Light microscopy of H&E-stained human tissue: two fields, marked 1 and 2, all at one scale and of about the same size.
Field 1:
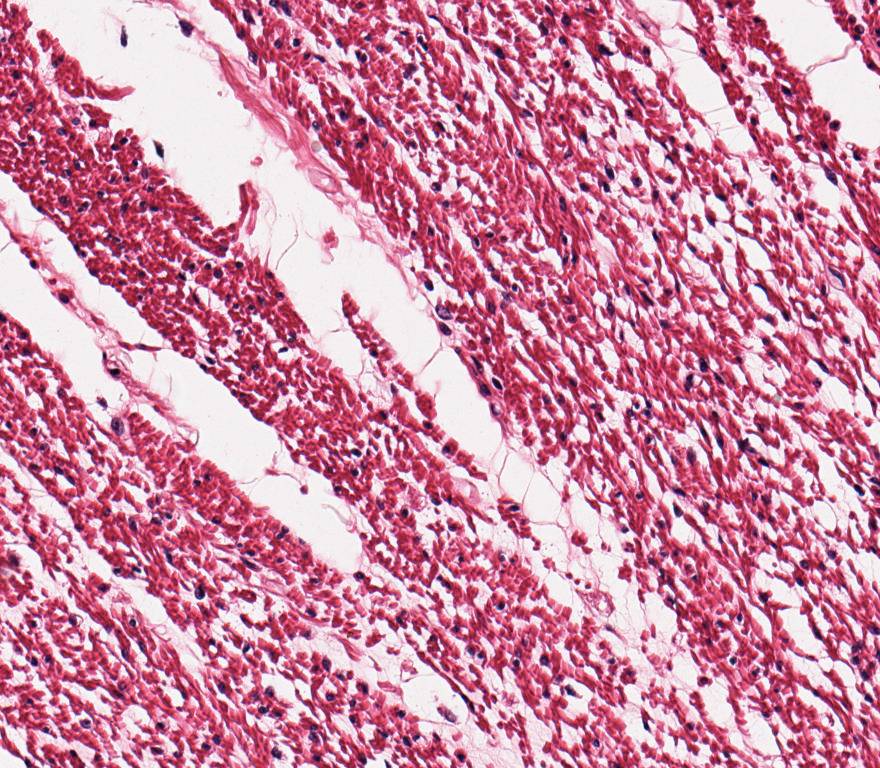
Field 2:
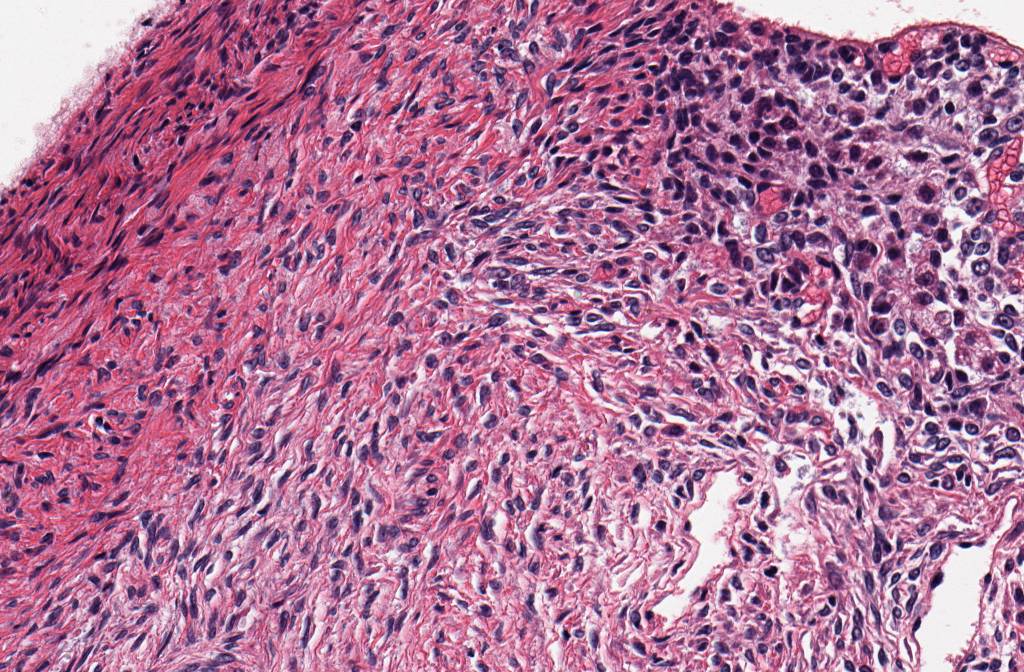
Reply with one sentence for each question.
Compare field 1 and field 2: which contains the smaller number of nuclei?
There are fewer nuclei in field 1.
